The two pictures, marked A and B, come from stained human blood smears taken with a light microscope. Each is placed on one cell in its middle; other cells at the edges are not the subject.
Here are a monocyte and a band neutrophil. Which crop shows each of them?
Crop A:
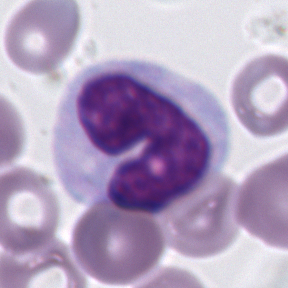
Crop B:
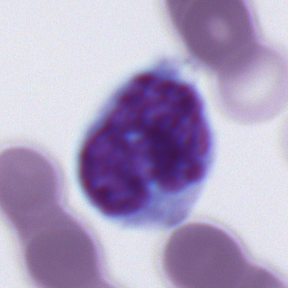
A: band neutrophil
B: monocyte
